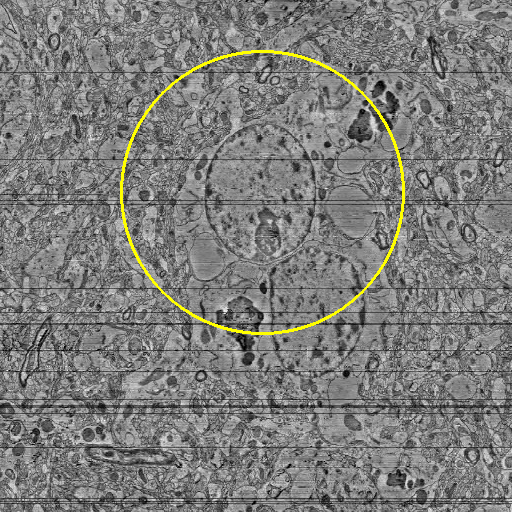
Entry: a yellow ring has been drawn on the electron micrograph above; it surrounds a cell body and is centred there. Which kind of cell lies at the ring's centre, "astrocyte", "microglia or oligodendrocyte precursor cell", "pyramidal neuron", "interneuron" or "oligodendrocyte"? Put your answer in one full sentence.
The cell sitting at the ring's centre is an astrocyte in the micrograph above.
